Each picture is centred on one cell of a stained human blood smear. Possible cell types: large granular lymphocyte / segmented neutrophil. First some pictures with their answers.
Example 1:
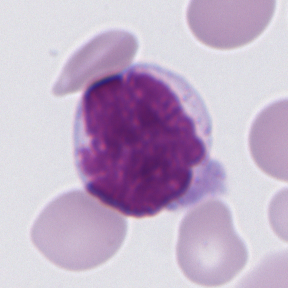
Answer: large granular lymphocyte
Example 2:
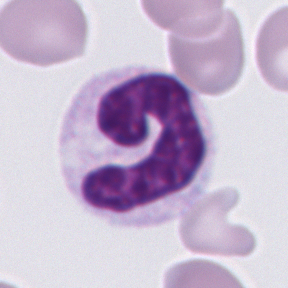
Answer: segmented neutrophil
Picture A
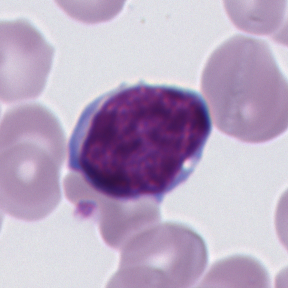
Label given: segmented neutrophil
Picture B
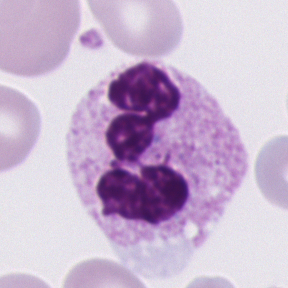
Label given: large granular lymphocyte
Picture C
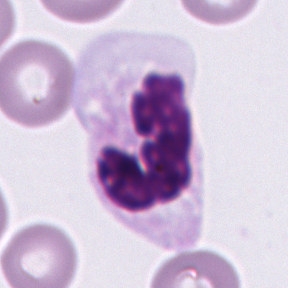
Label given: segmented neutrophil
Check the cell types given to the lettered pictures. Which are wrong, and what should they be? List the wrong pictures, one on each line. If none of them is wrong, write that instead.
Wrong: A (segmented neutrophil); correct: large granular lymphocyte
Wrong: B (large granular lymphocyte); correct: segmented neutrophil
